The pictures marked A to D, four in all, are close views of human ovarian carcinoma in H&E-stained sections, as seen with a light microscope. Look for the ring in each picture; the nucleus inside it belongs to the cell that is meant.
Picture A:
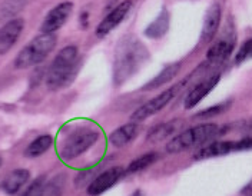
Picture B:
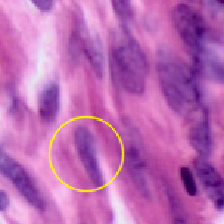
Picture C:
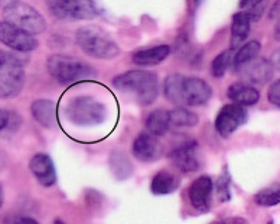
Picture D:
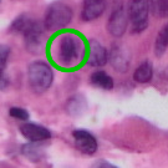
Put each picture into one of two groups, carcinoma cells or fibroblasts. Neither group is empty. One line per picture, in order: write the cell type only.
carcinoma cell
fibroblast
carcinoma cell
carcinoma cell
